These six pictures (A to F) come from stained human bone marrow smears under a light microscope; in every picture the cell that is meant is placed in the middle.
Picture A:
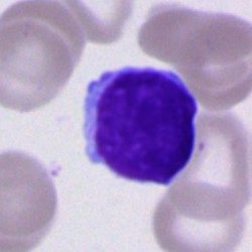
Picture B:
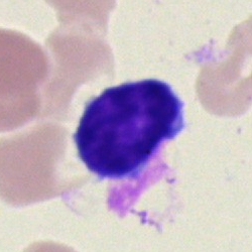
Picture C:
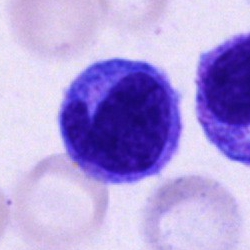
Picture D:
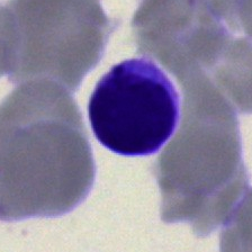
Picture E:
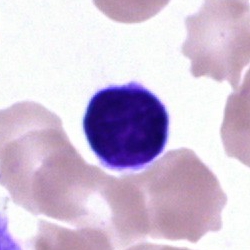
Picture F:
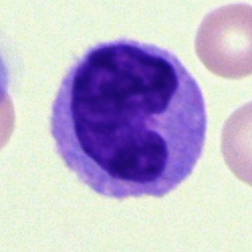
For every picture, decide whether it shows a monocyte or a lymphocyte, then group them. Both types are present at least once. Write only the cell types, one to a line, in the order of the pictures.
lymphocyte
lymphocyte
monocyte
lymphocyte
lymphocyte
monocyte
